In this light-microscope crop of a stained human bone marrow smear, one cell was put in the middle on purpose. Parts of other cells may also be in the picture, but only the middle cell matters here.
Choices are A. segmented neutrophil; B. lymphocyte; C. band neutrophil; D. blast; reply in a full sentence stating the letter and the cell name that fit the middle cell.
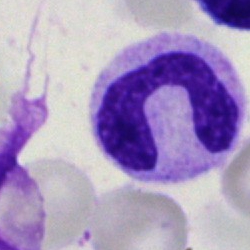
Option A is correct in that the central cell is a segmented neutrophil.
